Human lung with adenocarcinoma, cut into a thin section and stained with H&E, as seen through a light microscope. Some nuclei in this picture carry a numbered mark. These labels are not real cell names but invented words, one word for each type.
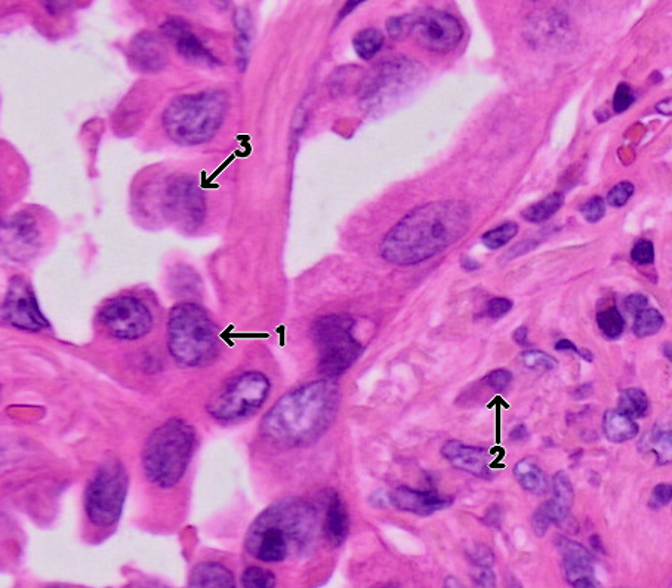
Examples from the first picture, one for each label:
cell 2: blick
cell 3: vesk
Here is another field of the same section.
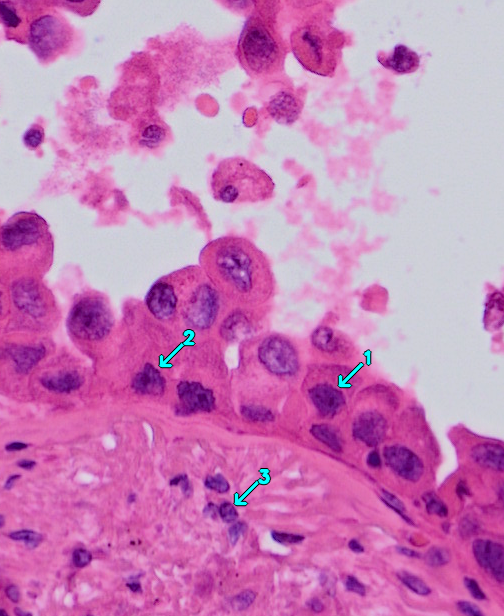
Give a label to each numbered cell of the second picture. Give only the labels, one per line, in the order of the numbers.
vesk
vesk
blick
